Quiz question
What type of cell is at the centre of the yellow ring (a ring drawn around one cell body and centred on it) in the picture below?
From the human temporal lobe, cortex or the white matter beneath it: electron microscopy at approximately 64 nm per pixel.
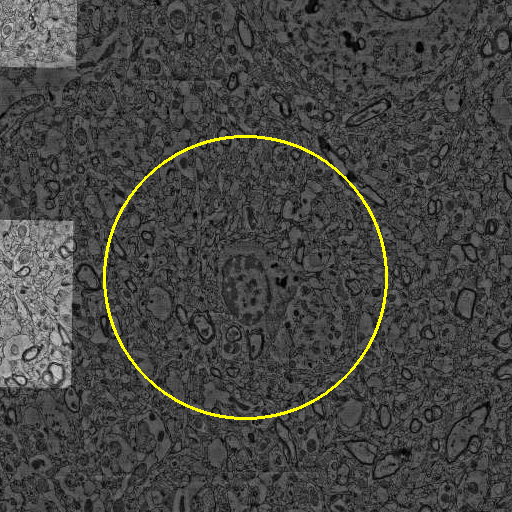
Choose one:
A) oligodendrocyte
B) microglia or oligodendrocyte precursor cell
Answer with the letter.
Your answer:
A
